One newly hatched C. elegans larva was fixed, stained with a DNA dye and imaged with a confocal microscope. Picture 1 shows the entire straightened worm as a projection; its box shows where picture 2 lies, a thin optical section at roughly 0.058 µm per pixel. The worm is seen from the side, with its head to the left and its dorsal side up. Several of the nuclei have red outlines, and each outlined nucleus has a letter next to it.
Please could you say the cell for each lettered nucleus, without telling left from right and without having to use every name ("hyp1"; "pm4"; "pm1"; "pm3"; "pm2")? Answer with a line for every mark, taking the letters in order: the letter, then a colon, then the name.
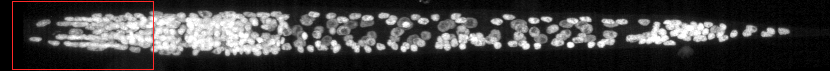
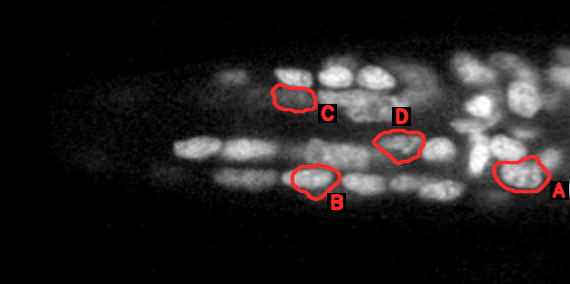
A: pm4
B: hyp1
C: pm2
D: pm3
